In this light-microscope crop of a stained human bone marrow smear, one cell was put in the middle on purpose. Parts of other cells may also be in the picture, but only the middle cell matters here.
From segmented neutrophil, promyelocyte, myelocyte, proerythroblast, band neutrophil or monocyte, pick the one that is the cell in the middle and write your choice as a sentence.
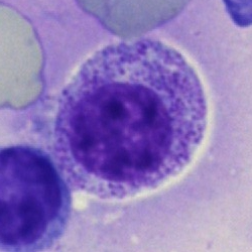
In the crop, the cell of interest at the centre is a myelocyte.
